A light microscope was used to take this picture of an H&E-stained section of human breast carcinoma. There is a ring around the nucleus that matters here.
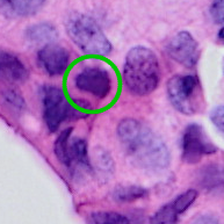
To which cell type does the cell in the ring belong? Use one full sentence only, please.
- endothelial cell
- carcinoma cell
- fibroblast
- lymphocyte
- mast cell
Cytologically, the cell in the ring is to be regarded as a carcinoma cell.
